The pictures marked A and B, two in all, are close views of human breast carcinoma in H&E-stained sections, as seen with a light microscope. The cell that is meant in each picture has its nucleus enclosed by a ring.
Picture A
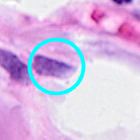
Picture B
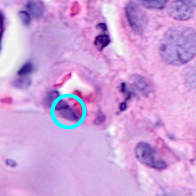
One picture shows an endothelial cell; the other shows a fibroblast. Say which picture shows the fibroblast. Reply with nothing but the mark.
A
